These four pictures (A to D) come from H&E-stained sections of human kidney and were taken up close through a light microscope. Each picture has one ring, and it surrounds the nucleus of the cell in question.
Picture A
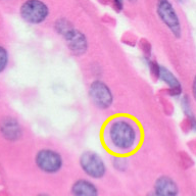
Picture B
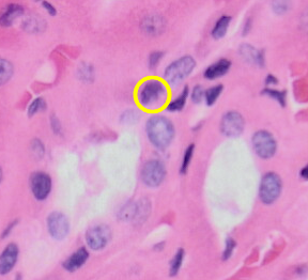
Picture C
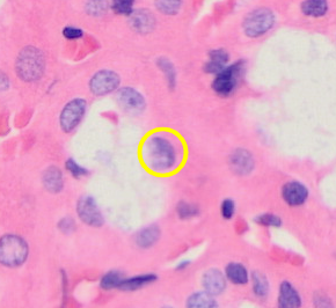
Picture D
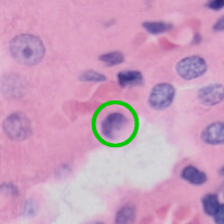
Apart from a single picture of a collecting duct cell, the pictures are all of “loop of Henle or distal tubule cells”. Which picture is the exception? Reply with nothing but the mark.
B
